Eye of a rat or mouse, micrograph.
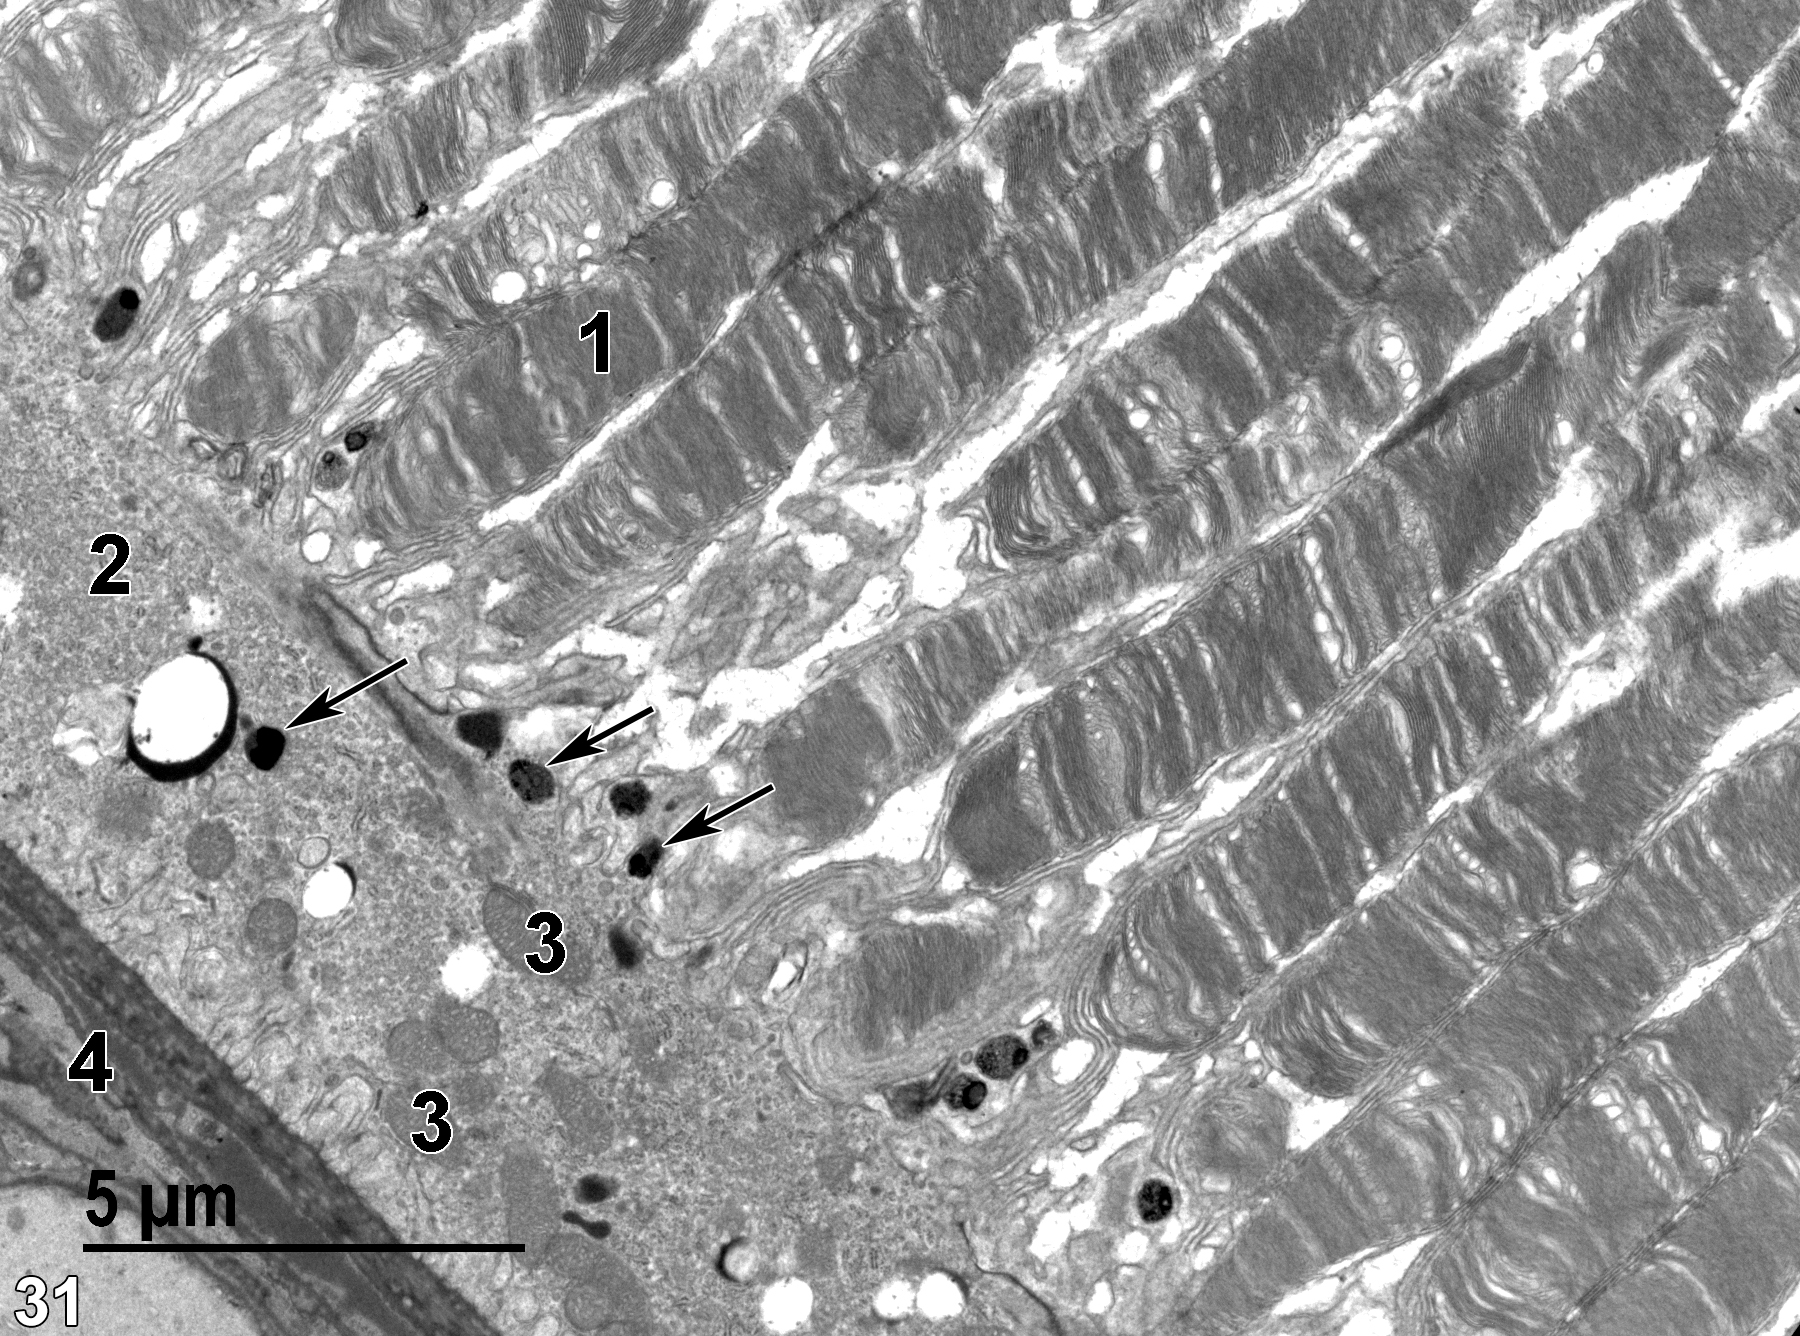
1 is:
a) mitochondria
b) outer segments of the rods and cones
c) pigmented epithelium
b) outer segments of the rods and cones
